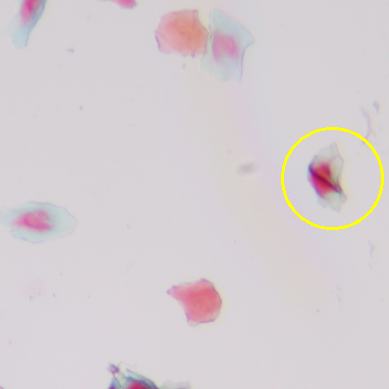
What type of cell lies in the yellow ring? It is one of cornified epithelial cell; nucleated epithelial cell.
The ringed cell is a nucleated epithelial cell.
